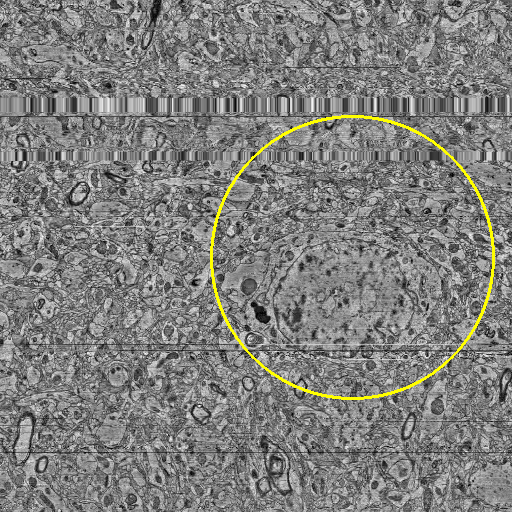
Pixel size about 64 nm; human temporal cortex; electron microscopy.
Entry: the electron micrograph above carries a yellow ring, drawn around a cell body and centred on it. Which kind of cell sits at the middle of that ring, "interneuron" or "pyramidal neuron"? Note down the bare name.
interneuron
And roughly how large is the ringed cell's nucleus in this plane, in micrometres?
In this plane, the nucleus is roughly 9 by 7 micrometres.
